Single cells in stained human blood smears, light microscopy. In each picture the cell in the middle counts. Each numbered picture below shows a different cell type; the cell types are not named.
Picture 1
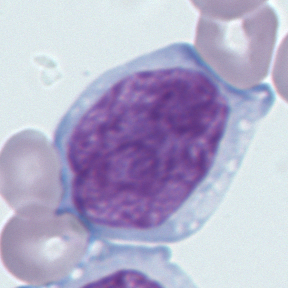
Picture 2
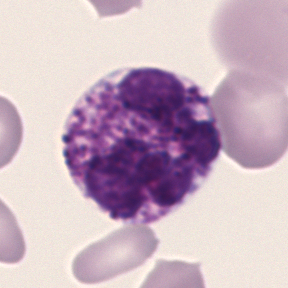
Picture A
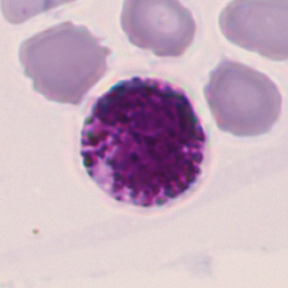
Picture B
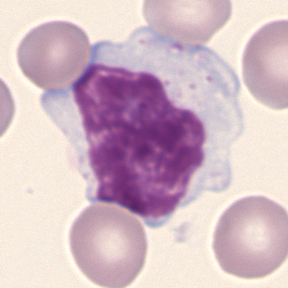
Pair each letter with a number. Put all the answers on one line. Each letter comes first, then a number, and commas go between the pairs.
A 2, B 1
